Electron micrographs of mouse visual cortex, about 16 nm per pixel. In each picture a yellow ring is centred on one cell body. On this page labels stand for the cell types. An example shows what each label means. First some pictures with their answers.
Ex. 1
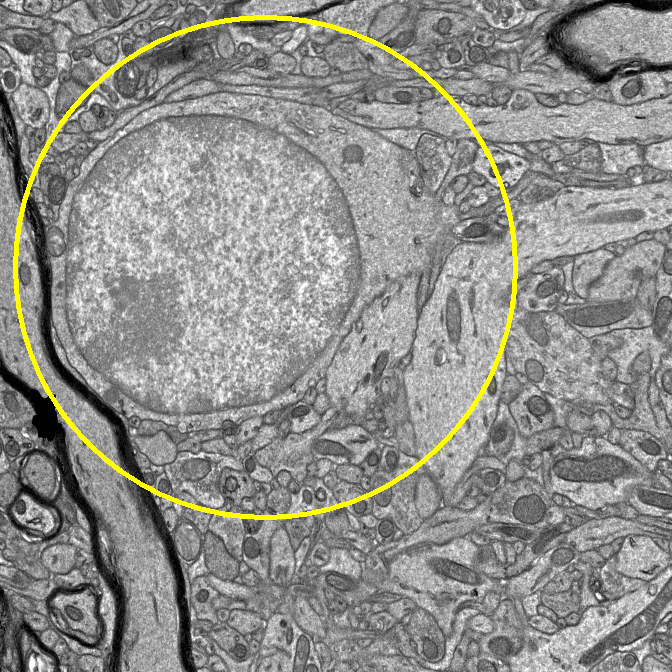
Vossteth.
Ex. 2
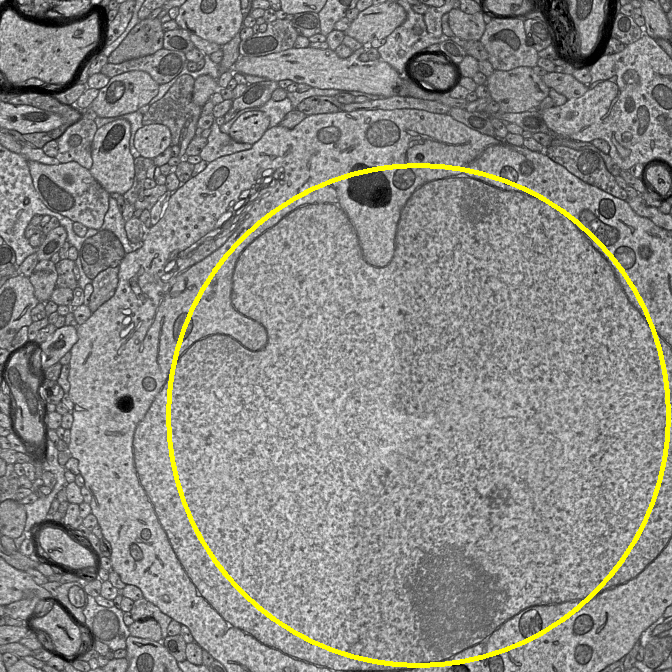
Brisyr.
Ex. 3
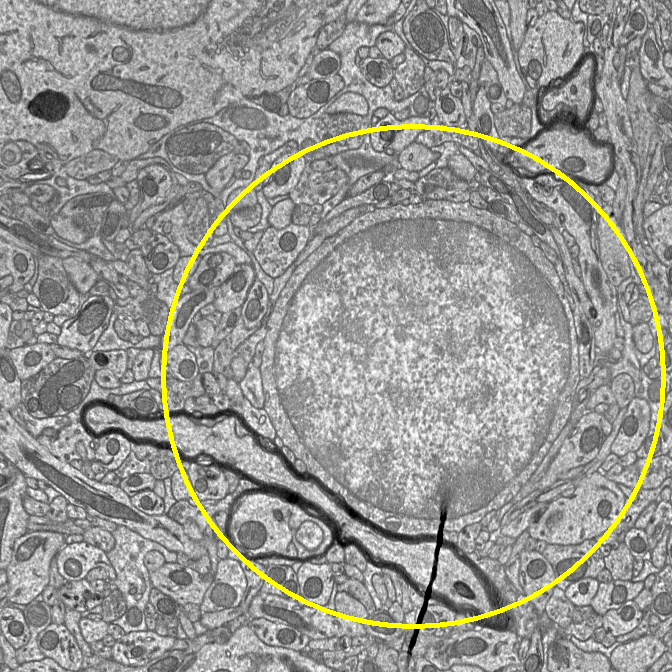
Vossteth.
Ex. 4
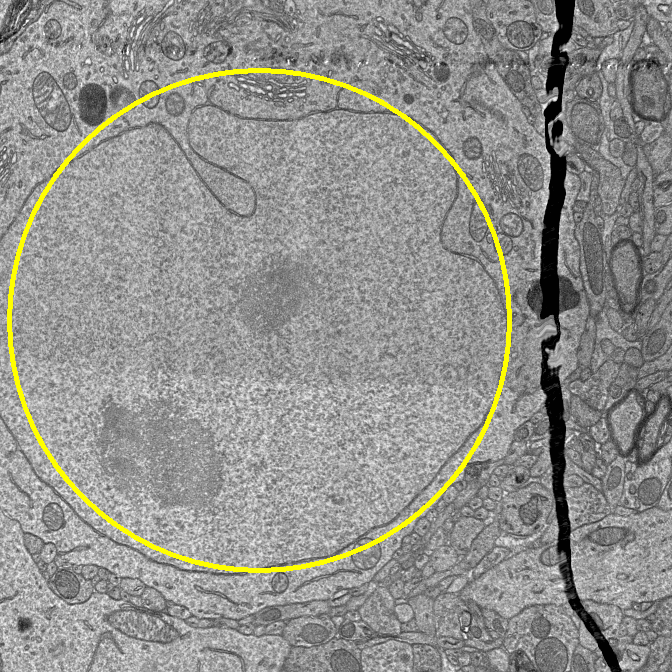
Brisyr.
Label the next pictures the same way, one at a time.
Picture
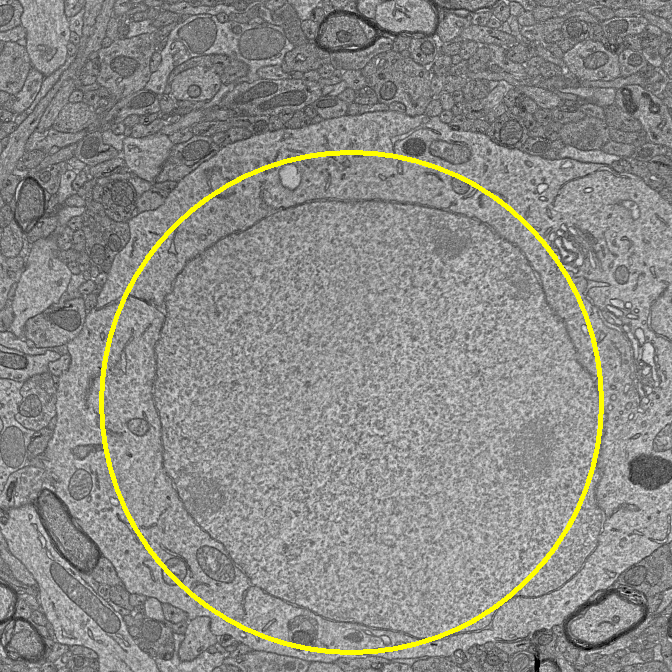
Brisyr.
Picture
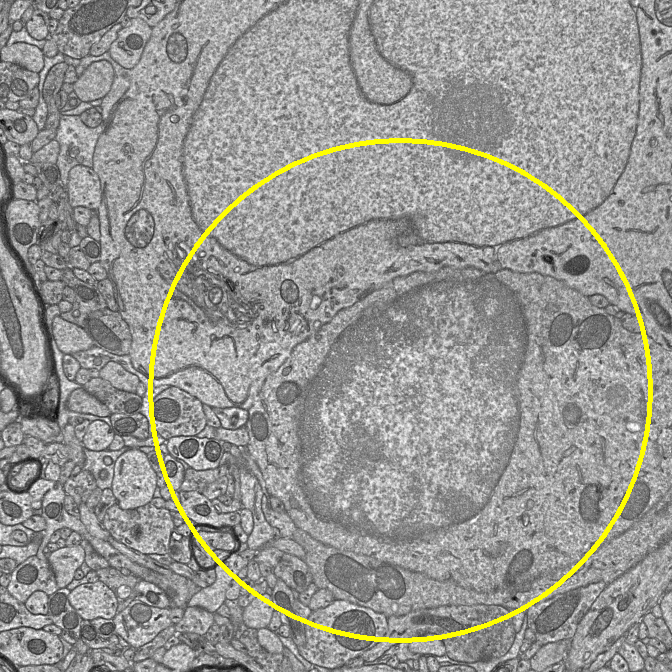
Vossteth.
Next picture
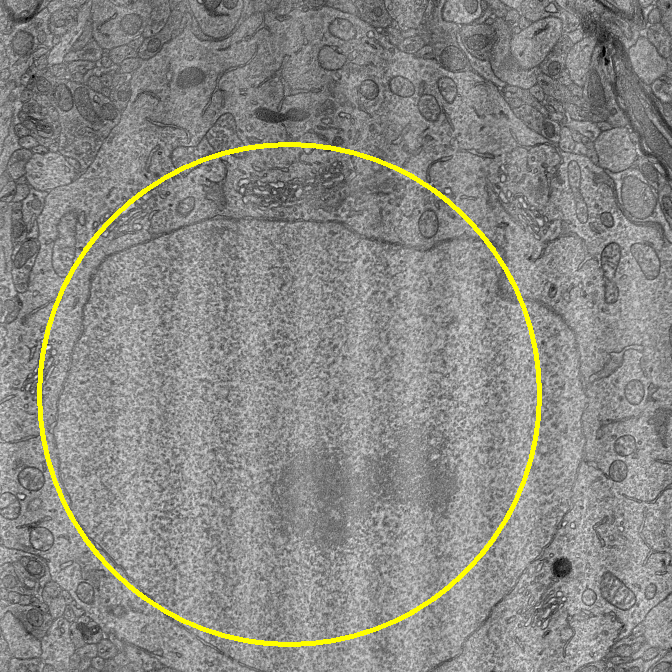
Brisyr.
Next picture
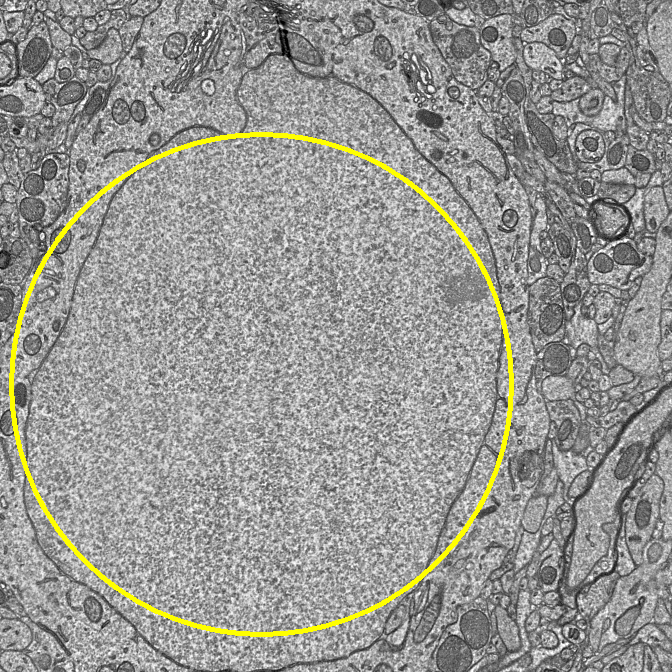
Brisyr.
